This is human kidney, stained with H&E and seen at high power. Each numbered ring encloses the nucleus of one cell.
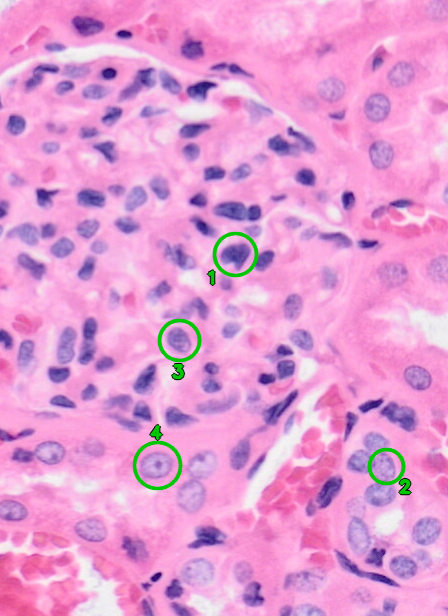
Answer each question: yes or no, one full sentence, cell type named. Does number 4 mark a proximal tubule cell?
Yes, so the cell at label 4 is a proximal tubule cell.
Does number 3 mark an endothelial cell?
Yes, the cell that the number 3 labels is an endothelial cell.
